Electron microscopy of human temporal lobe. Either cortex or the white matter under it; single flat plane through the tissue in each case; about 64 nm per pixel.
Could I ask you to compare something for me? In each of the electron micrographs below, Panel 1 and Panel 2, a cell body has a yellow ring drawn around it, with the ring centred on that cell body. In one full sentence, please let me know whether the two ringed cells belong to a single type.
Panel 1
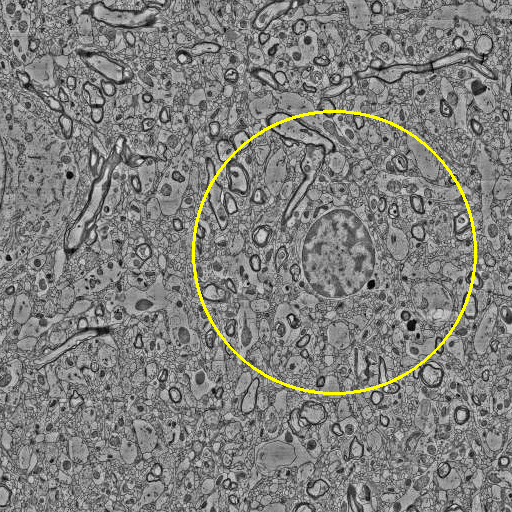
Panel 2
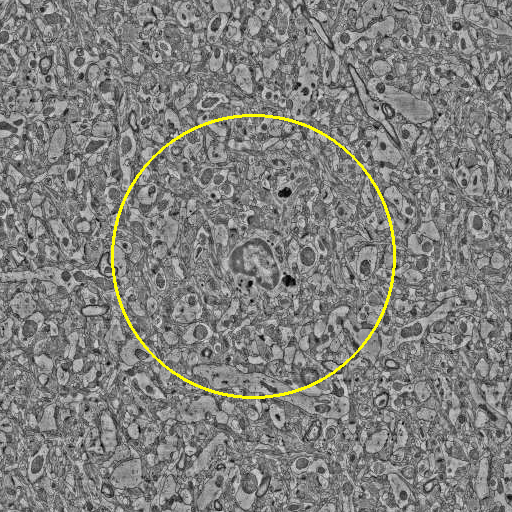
Yes, the two cells at the centres of the rings are of one type.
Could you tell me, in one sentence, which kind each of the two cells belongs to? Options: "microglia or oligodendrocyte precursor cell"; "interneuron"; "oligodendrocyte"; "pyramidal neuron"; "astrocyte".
In both pictures the ring is centred on a microglial cell or oligodendrocyte precursor cell.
